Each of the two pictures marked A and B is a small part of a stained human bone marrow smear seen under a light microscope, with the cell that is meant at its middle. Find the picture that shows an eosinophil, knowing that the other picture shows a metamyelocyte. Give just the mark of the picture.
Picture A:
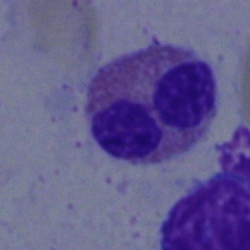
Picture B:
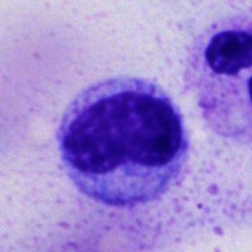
A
